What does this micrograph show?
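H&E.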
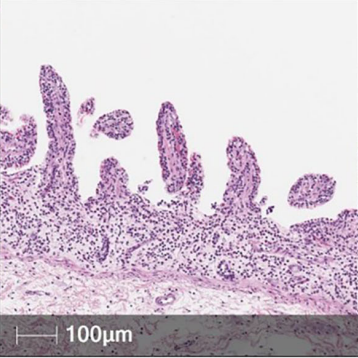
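This is small intestinal mucosa in which the villi have been stripped of their covering epithelial cells. What remains are short, stubby pink cores of connective tissue packed with small dark nuclei, some pieces lying loose above the surface. The crypts that would normally sit at the base are mostly gone, leaving a dense cellular layer above a pale pink, loosely fibrous band of deeper tissue.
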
